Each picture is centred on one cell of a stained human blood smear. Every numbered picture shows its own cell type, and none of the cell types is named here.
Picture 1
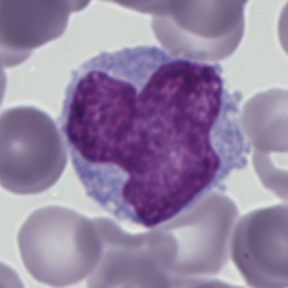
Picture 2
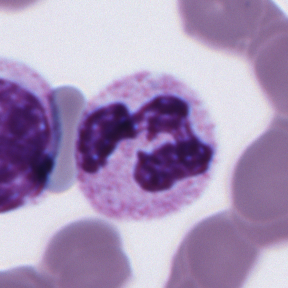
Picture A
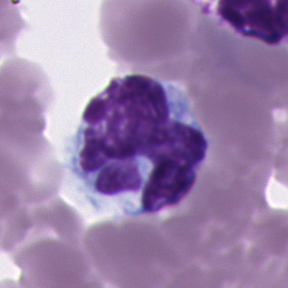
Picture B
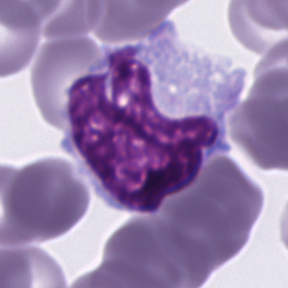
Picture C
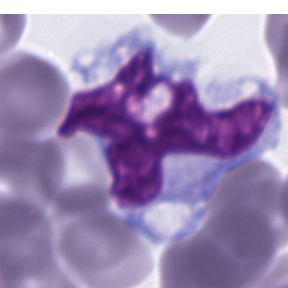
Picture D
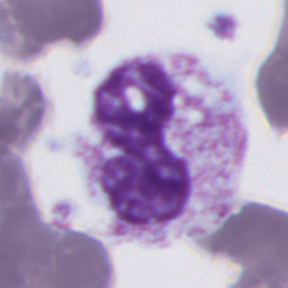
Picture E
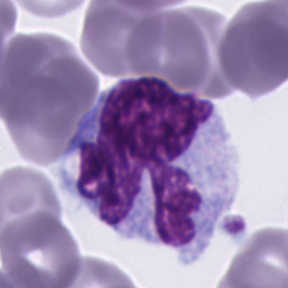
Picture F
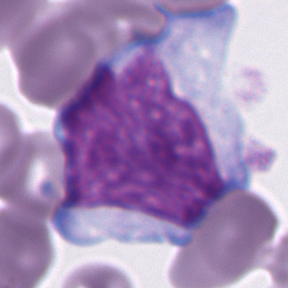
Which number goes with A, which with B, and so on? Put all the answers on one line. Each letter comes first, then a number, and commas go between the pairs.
A 1, B 1, C 1, D 2, E 1, F 1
